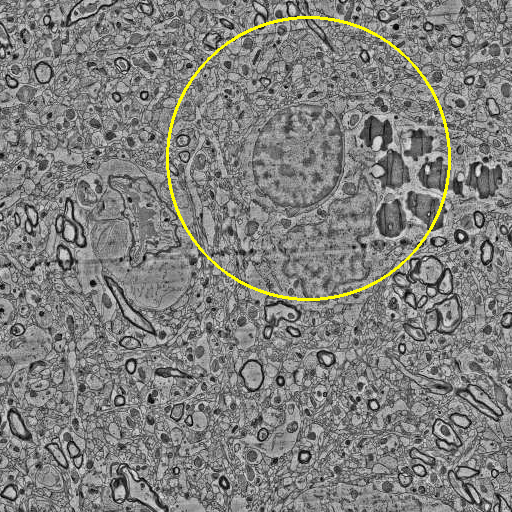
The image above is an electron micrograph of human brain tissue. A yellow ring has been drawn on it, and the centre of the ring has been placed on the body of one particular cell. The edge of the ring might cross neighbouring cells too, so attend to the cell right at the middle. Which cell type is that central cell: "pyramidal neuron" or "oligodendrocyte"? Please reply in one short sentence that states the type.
The central cell in the ring is an oligodendrocyte.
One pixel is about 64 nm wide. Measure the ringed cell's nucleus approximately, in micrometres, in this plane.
The nucleus appears about 6 micrometres across in this plane.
